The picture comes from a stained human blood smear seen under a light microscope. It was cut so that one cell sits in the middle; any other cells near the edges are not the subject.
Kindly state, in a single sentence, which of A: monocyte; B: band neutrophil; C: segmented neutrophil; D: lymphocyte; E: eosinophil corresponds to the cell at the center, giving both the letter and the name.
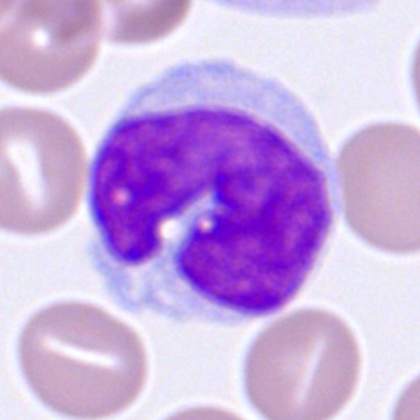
Seen at the centre of the crop is a monocyte, so option A is correct.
